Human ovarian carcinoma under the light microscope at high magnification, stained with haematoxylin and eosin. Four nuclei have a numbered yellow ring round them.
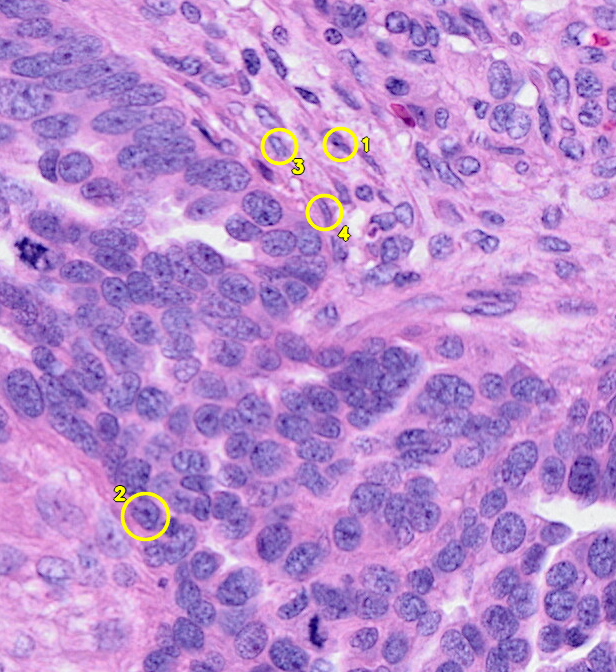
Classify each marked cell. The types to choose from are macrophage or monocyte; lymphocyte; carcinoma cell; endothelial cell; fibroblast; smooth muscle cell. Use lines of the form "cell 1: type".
cell 1: fibroblast
cell 2: carcinoma cell
cell 3: fibroblast
cell 4: fibroblast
